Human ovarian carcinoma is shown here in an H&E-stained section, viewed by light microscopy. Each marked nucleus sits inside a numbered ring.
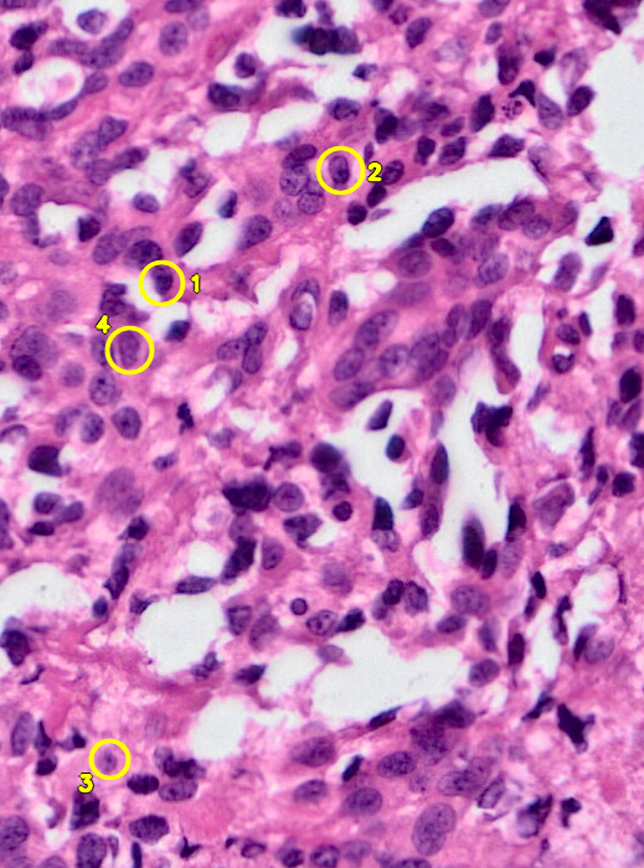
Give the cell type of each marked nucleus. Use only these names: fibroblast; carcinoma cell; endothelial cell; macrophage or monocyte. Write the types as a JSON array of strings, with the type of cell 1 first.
["carcinoma cell", "macrophage or monocyte", "macrophage or monocyte", "carcinoma cell"]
